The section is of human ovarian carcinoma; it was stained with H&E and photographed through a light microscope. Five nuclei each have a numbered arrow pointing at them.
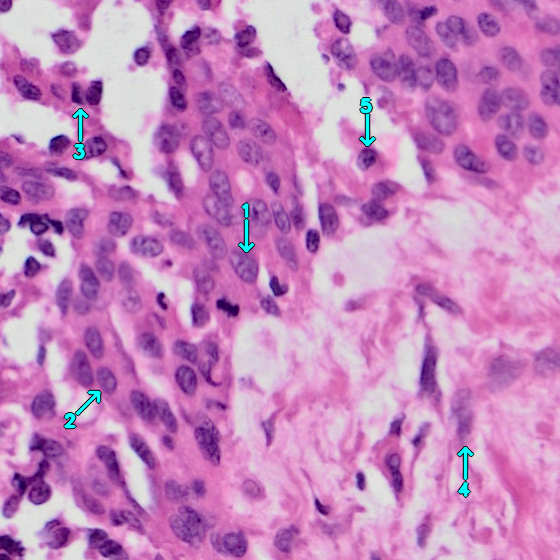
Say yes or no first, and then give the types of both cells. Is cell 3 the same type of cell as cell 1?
No, as to type, cell 3 is a macrophage or monocyte, and cell 1 is a carcinoma cell.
